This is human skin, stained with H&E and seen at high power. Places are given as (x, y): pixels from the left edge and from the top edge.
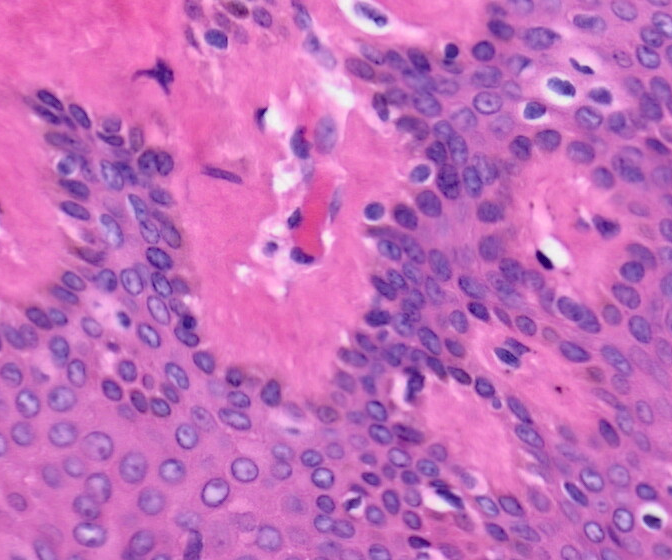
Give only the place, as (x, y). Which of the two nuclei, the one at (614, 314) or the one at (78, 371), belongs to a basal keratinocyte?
(614, 314)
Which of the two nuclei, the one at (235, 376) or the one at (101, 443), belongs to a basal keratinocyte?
(235, 376)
